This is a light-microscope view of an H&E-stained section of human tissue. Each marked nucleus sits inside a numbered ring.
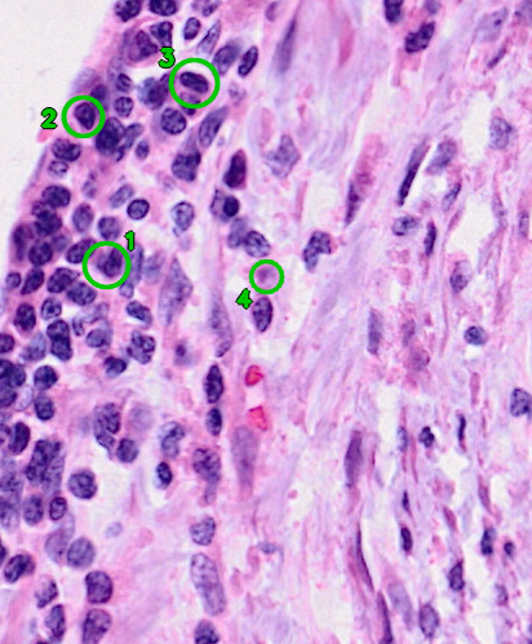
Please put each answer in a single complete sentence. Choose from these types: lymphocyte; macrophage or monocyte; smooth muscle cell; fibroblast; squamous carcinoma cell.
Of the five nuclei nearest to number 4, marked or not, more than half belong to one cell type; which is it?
The majority of the five nuclei closest to number 4 belong to lymphocytes.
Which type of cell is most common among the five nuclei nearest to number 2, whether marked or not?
Most of the five nuclei nearest to number 2 are those of lymphocytes.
